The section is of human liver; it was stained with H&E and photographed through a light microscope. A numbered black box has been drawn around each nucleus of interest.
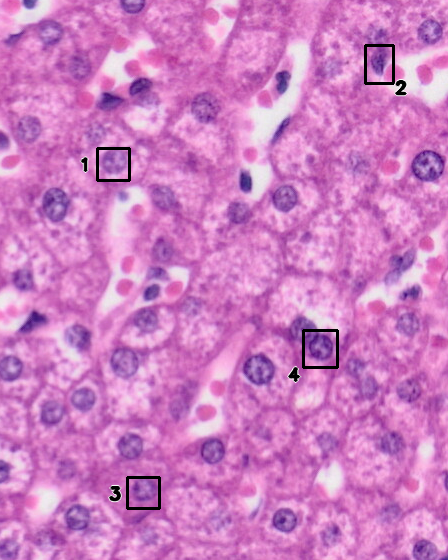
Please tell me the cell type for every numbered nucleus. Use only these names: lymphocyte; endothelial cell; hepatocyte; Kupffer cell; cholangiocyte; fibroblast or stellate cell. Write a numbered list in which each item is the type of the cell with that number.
1. hepatocyte
2. endothelial cell
3. hepatocyte
4. hepatocyte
